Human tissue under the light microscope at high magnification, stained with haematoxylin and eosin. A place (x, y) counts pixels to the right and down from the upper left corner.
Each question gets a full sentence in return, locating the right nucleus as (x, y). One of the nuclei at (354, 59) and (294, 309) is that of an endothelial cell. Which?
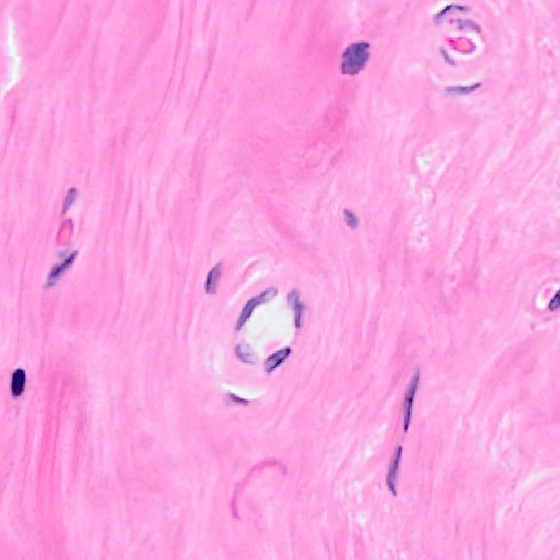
The nucleus whose cell is an endothelial cell is the one at (294, 309).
